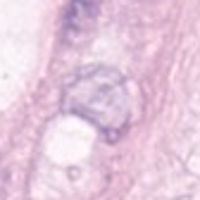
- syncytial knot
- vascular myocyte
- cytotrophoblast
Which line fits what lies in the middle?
cytotrophoblast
